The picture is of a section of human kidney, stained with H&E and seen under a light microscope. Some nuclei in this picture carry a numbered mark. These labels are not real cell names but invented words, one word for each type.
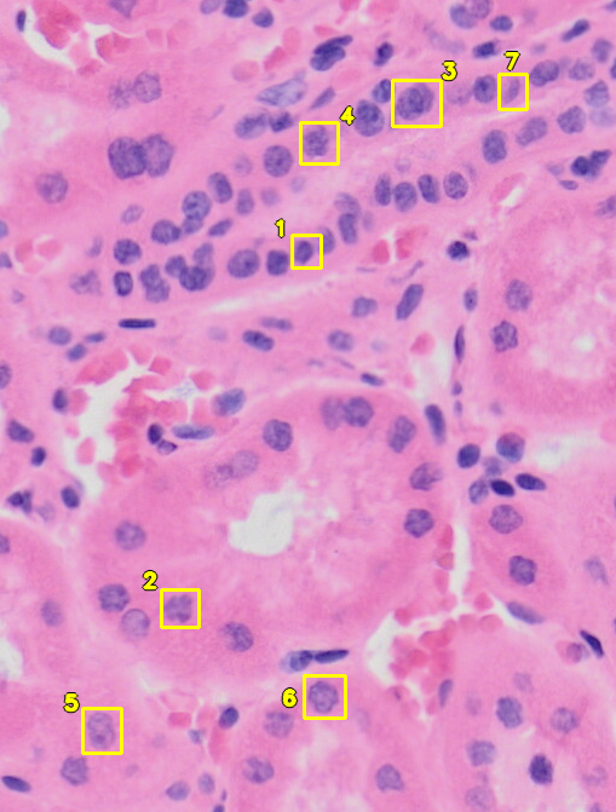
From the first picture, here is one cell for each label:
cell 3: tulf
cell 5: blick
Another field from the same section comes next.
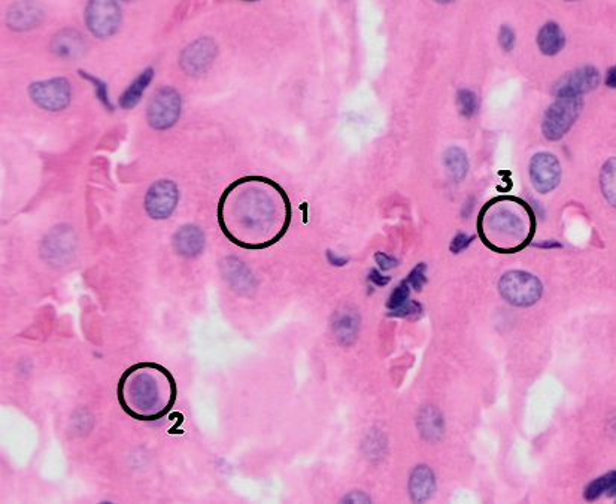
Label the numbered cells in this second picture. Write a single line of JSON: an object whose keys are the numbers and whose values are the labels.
{"1": "blick", "2": "blick", "3": "tulf"}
